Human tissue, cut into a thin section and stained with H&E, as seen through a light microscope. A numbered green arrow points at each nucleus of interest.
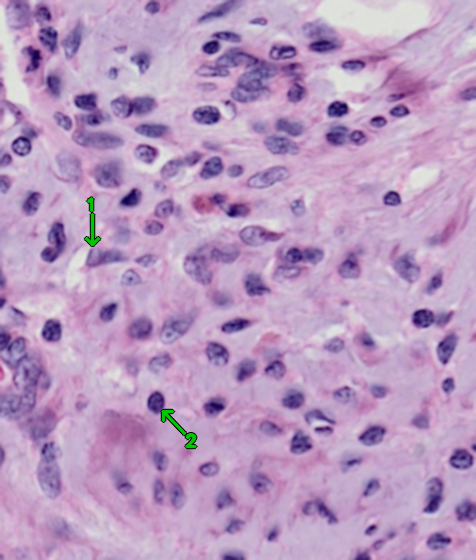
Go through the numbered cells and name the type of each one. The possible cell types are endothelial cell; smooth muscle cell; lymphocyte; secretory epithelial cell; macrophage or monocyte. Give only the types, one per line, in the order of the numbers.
macrophage or monocyte
lymphocyte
